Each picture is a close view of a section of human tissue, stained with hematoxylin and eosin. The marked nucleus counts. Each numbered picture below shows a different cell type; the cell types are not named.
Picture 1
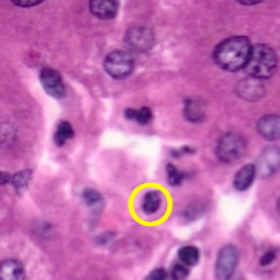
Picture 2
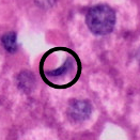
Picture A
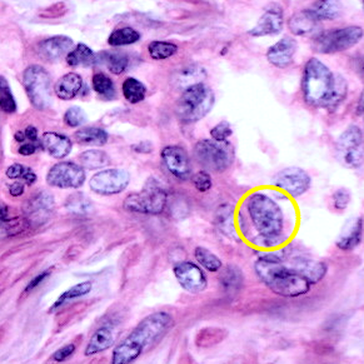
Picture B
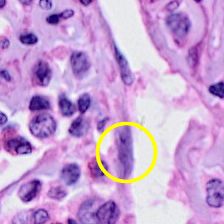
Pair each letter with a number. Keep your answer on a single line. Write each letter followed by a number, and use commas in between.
A 2, B 2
